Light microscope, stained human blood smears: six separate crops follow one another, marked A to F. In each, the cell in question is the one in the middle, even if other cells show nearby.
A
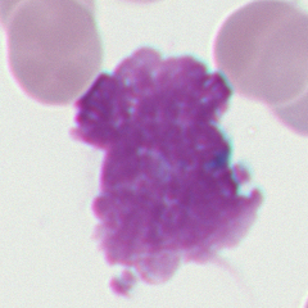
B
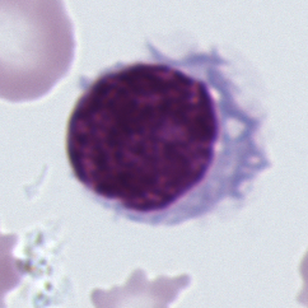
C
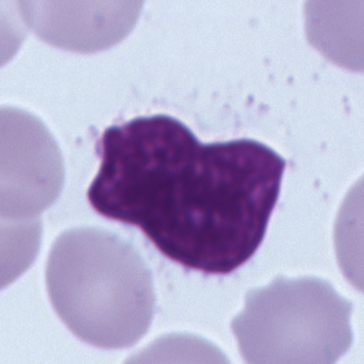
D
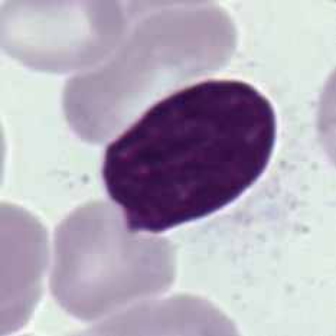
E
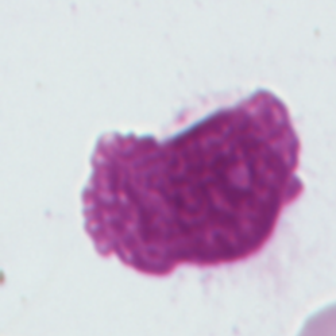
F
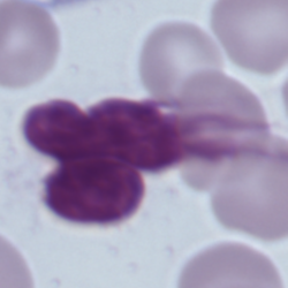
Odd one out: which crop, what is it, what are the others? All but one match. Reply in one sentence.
Crop B is different, showing a hairy cell, whereas all the others show smudge cells.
